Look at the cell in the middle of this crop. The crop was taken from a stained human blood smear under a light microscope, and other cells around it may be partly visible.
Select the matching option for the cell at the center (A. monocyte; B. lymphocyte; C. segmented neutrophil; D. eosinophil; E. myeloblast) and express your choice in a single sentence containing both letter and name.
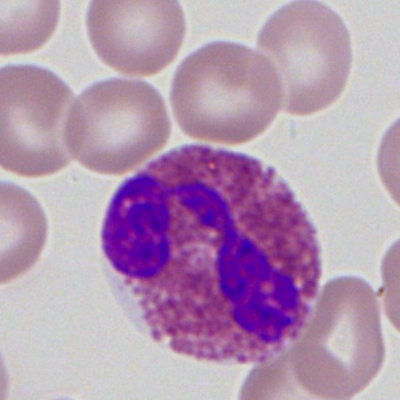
Answer key: option D, the middle cell being an eosinophil.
